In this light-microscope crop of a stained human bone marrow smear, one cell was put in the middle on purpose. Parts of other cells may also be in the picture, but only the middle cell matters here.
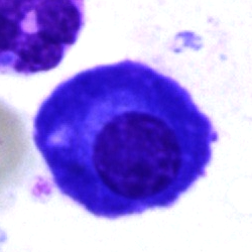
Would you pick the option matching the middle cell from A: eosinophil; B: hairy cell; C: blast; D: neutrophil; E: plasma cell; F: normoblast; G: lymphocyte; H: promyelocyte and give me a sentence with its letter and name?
In the centre of the crop there is a plasma cell, making option E correct.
